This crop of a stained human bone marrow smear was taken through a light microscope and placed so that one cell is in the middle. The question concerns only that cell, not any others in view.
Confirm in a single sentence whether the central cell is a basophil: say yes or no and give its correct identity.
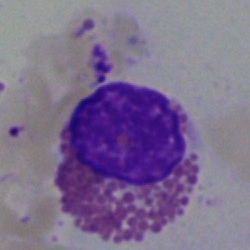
No, the centre of the crop is taken up by an eosinophil, not a basophil.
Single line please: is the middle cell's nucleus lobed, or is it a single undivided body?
If you check the nucleus, you will find one compact mass, round, oval or kidney-shaped.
